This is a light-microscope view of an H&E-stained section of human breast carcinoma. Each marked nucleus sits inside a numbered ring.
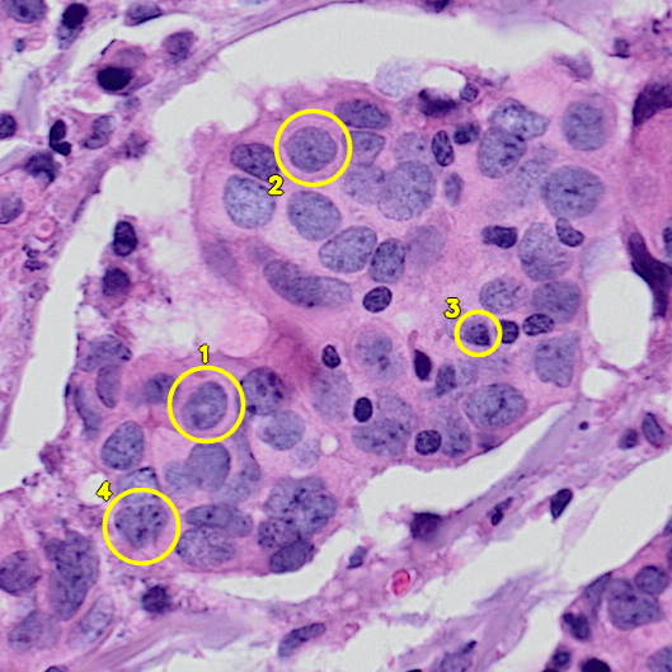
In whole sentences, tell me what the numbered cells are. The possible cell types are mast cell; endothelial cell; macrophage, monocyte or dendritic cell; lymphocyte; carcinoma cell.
Cells 1, 2 and 4 are carcinoma cells. Cell 3 is a lymphocyte.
